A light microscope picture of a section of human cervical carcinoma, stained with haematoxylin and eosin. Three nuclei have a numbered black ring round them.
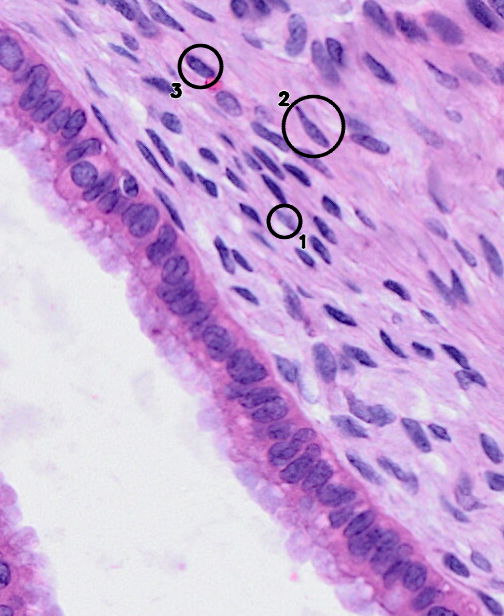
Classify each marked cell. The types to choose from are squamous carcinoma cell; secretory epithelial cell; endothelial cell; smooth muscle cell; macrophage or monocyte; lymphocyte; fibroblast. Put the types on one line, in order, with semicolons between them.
fibroblast; fibroblast; endothelial cell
